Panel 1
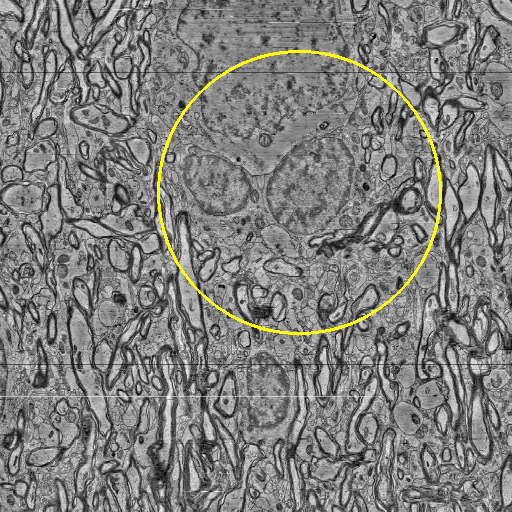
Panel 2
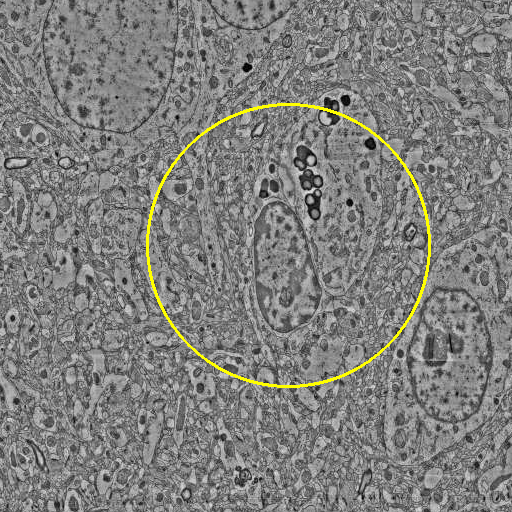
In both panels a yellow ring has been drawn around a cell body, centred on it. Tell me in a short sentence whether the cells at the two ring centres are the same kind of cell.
No, they are two kinds of cell.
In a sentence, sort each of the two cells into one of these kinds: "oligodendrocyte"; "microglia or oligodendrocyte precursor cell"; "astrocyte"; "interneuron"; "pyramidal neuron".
The first of the two cells is an oligodendrocyte, and the second is a microglial cell or oligodendrocyte precursor cell.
